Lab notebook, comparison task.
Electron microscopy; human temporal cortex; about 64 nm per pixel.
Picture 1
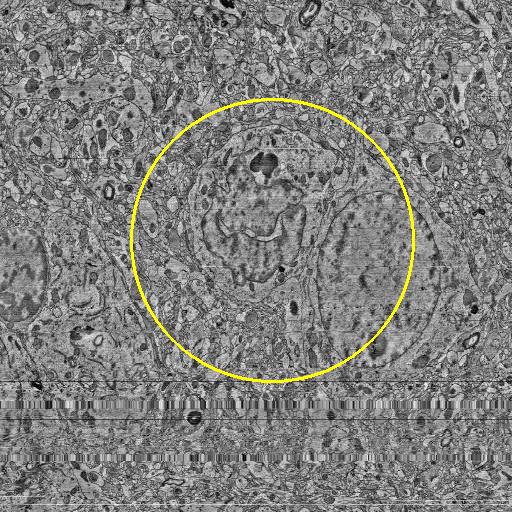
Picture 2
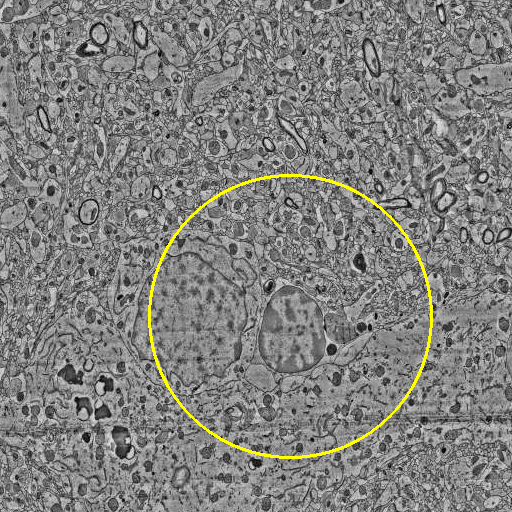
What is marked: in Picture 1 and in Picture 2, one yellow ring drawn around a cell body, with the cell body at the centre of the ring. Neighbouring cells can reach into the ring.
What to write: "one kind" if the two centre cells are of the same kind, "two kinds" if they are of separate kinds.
two kinds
